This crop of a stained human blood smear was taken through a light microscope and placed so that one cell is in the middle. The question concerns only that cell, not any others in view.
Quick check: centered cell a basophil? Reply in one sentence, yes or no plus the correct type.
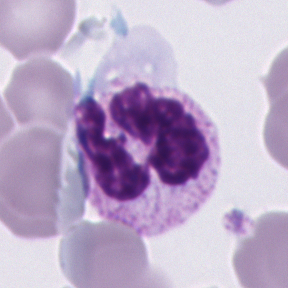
No, instead of a basophil, the middle cell is a segmented neutrophil.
